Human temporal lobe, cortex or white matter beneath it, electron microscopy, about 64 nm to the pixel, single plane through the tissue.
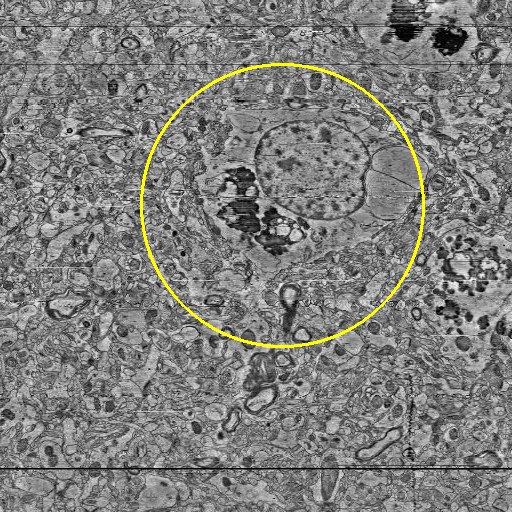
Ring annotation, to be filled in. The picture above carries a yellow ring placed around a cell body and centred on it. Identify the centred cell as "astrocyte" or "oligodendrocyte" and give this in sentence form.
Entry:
The cell in the middle of the ring is an astrocyte.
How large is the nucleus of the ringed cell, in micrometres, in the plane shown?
About 7 by 6 micrometers for the nucleus, in this plane.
